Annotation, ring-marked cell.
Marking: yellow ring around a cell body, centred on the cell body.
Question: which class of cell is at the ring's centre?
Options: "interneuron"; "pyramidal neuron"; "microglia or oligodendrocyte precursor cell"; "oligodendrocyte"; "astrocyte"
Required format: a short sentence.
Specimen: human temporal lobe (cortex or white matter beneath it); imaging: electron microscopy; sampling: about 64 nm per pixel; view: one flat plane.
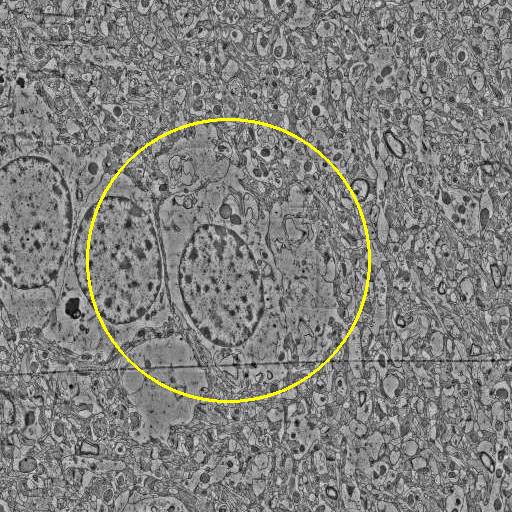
At the ring's centre is an astrocyte.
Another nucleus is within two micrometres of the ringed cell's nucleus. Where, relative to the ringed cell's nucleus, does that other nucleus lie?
That nucleus lies to the left of it.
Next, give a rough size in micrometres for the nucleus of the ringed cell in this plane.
Roughly 8 by 5 micrometers, clearly longer than it is wide in this plane.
